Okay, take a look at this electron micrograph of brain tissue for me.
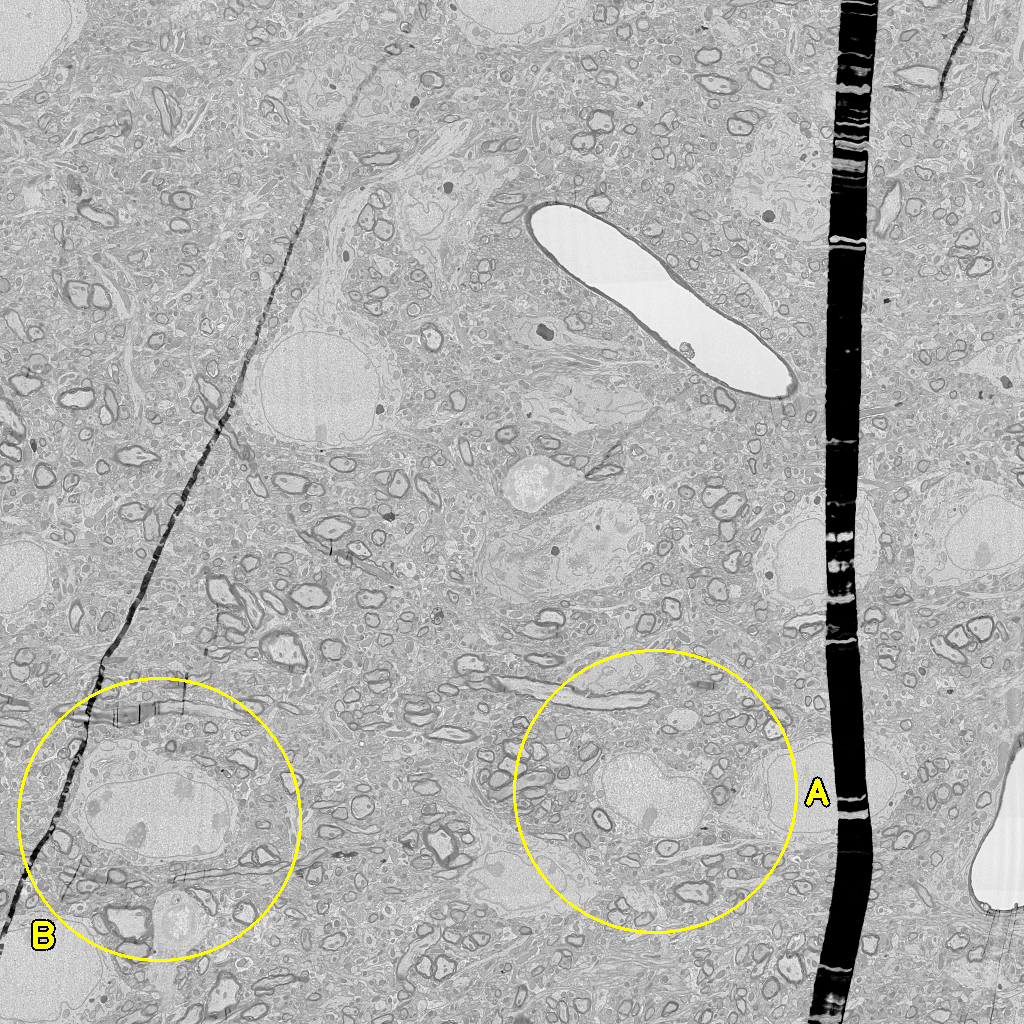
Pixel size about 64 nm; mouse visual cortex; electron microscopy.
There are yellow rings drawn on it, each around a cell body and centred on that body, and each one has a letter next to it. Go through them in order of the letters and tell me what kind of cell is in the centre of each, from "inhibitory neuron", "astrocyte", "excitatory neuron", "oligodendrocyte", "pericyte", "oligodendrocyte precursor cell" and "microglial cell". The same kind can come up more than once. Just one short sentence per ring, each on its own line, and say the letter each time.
In the centre of ring A there's an astrocyte.
In the centre of ring B there's an excitatory neuron.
